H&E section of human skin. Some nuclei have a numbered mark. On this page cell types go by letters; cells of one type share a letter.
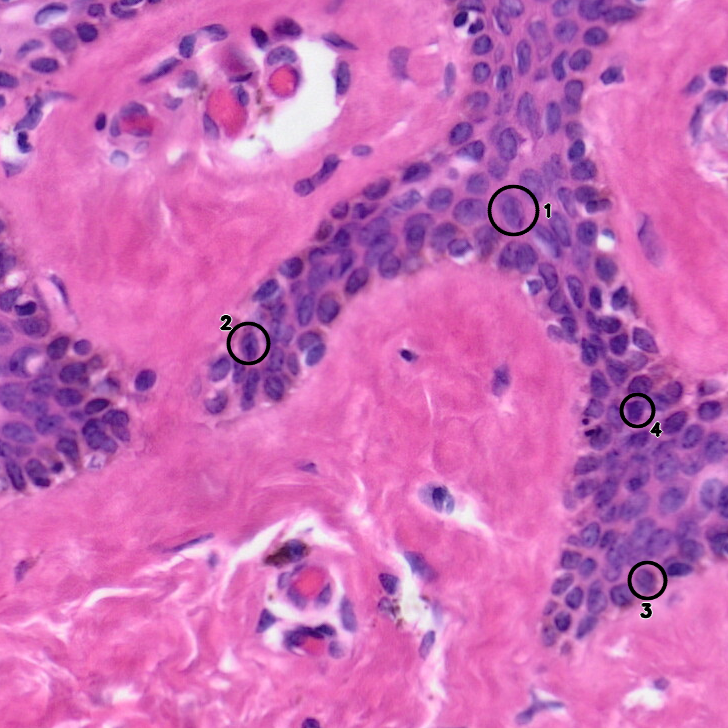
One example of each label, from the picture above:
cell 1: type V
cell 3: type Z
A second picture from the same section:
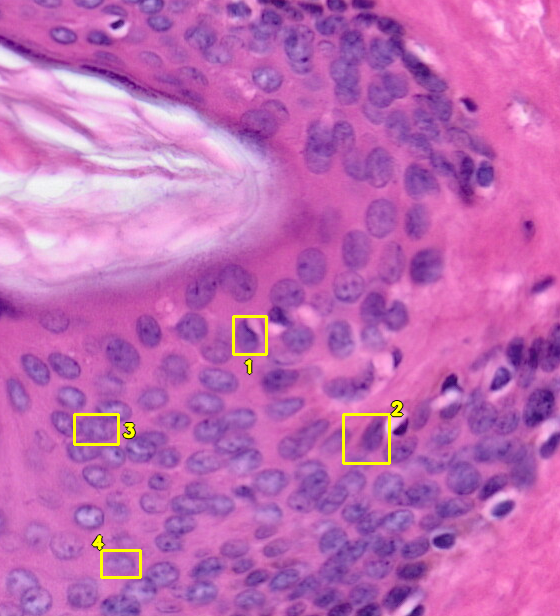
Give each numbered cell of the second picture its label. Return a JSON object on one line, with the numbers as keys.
{"1": "type V", "2": "type Z", "3": "type V", "4": "type V"}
